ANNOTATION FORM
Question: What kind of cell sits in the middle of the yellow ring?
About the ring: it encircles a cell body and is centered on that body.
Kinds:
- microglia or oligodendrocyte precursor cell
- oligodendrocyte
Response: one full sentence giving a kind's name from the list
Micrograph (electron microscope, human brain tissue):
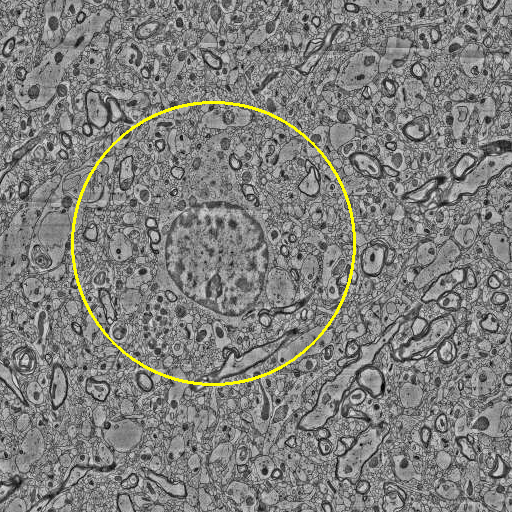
The kind of cell found at the center of the yellow ring in the micrograph is an oligodendrocyte.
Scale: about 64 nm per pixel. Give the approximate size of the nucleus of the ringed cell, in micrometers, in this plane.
Roughly 8 by 6 micrometres in this plane, for the nucleus of the ringed cell.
